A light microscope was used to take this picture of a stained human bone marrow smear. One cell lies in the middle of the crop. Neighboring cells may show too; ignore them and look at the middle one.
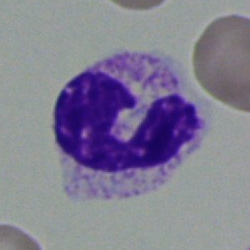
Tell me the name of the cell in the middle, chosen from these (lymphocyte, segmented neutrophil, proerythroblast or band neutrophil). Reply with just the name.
band neutrophil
